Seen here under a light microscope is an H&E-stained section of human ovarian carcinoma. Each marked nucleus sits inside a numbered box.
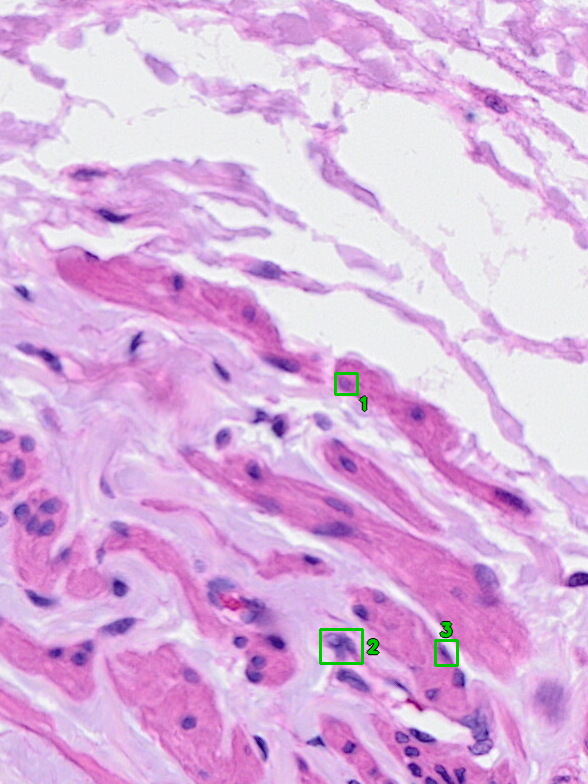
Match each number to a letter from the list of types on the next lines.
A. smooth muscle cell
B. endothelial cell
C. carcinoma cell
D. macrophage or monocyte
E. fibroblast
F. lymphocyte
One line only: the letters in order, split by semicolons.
A; B; A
